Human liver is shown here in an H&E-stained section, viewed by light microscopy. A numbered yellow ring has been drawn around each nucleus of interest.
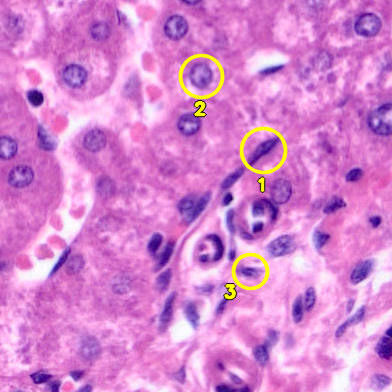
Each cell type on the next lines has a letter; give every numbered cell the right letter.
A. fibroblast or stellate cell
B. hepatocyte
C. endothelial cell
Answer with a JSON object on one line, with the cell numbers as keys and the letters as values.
{"1": "A", "2": "B", "3": "A"}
